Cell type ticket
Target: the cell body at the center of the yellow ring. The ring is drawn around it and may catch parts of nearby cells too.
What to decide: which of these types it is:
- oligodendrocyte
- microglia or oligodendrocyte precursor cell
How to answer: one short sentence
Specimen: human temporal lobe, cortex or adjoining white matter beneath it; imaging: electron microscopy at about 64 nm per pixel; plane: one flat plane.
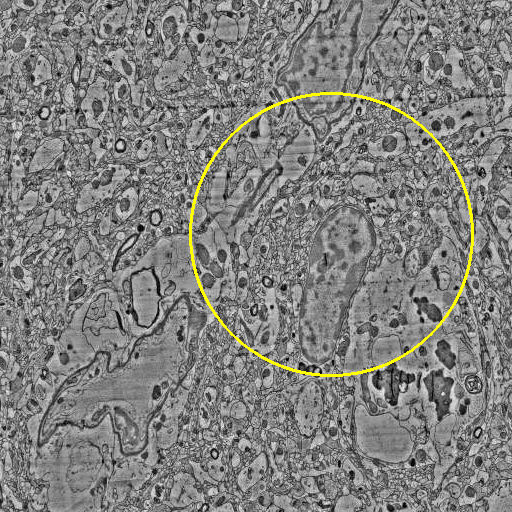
The cell at the center of the ring is a microglial cell or oligodendrocyte precursor cell.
